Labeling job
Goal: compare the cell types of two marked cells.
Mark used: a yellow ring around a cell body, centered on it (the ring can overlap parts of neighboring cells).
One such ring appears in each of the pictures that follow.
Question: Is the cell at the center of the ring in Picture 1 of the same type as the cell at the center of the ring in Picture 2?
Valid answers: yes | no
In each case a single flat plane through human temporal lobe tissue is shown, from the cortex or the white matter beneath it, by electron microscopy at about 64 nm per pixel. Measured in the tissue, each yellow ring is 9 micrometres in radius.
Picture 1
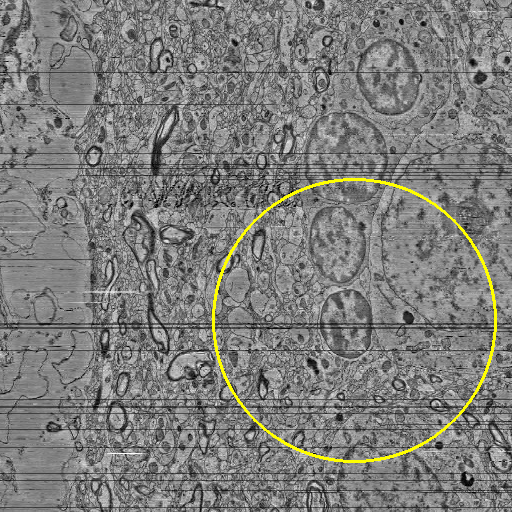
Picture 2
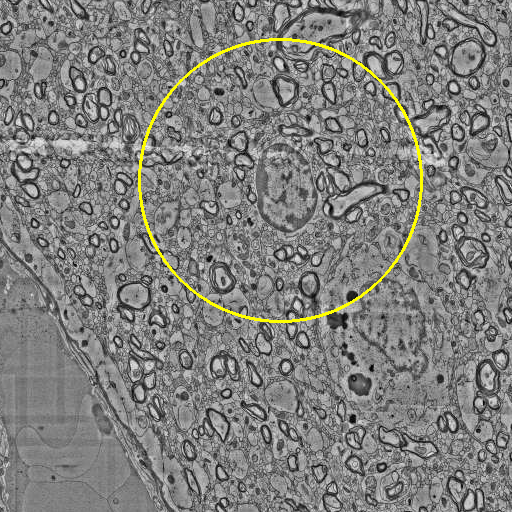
yes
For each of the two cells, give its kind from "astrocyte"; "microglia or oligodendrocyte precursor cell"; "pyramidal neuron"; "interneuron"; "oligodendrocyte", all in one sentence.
In the first picture and in the second, the ring is centred on a microglial cell or oligodendrocyte precursor cell.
